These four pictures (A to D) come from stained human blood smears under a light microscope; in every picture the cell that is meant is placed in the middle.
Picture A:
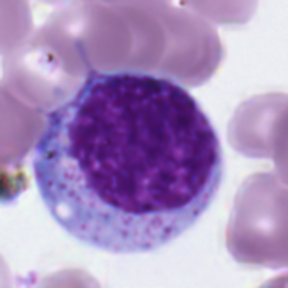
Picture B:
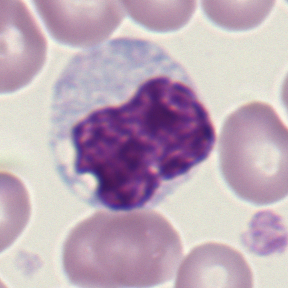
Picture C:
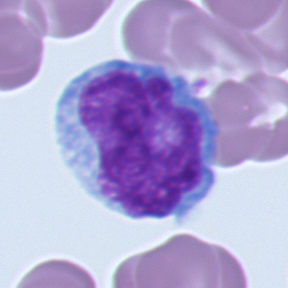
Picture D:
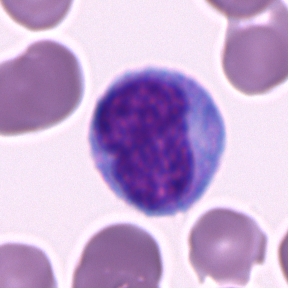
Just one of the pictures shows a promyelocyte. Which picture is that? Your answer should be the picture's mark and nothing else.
A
